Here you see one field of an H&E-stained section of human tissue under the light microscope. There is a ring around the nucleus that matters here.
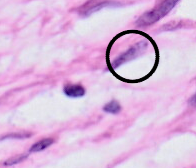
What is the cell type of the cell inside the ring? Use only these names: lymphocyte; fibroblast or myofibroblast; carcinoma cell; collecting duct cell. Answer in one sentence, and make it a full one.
Microscopically, the cell inside the ring is categorized as a fibroblast or myofibroblast.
